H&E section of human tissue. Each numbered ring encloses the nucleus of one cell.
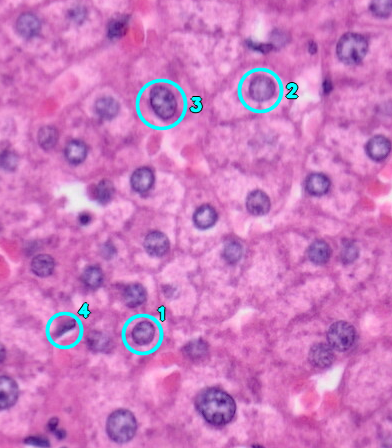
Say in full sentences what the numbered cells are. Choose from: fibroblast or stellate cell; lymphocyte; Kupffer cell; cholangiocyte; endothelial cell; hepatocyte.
Cell 1 is a hepatocyte, cell 2 is a hepatocyte, cell 3 is a hepatocyte and cell 4 is an endothelial cell.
